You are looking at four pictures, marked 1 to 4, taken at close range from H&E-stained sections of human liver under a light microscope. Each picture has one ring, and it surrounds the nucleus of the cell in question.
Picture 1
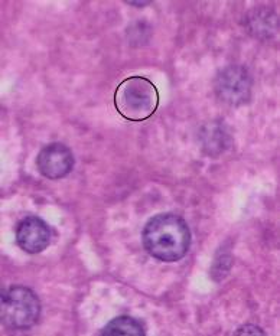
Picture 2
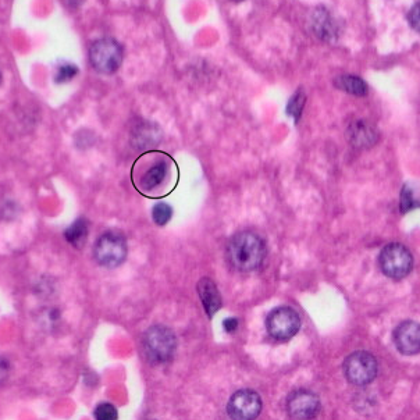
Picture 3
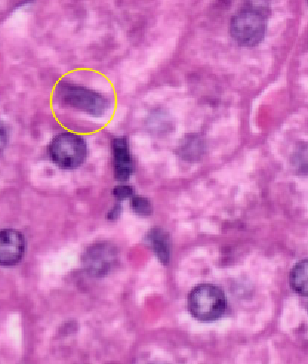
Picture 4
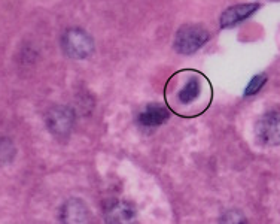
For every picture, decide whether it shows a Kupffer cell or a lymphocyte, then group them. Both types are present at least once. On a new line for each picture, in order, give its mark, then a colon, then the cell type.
1: Kupffer cell
2: Kupffer cell
3: Kupffer cell
4: lymphocyte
